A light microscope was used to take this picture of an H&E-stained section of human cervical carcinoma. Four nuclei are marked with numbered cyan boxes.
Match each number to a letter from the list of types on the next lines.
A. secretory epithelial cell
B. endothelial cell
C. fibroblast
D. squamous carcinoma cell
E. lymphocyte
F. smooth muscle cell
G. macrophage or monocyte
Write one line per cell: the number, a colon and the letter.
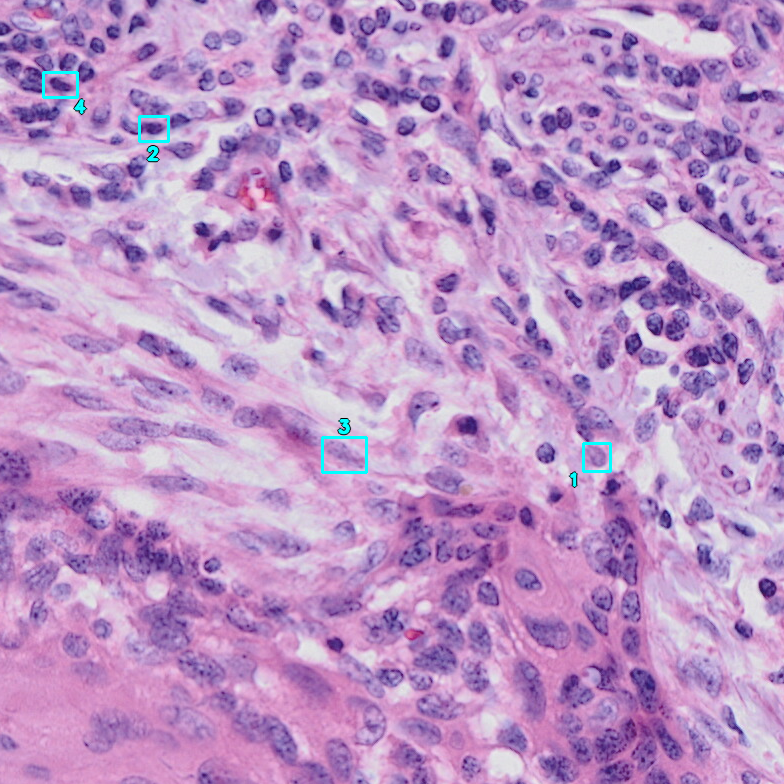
1: G
2: E
3: C
4: E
